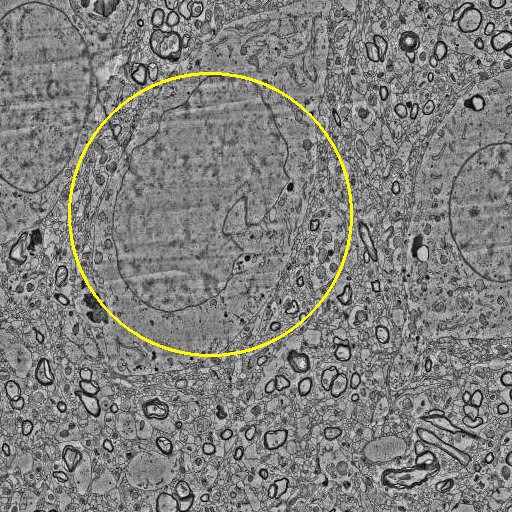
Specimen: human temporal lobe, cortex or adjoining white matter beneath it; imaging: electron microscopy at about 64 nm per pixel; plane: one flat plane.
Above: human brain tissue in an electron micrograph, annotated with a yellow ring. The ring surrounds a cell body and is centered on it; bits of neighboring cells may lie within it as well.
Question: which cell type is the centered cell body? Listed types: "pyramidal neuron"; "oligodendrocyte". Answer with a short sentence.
The centered cell body is a pyramidal neuron.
